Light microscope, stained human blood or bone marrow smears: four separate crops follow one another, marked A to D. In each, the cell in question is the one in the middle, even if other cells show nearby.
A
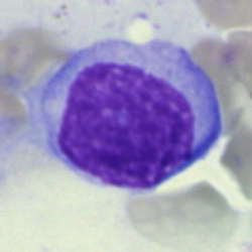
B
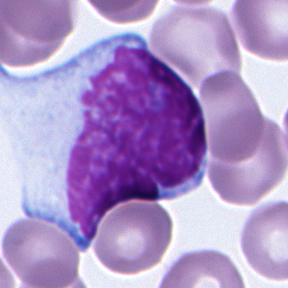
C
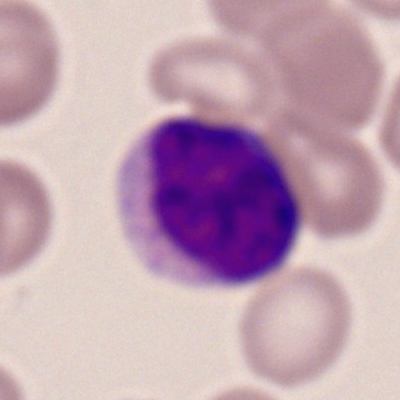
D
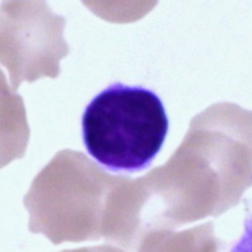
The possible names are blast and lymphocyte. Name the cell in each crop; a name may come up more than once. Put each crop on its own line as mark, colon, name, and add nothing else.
A: blast
B: blast
C: lymphocyte
D: lymphocyte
